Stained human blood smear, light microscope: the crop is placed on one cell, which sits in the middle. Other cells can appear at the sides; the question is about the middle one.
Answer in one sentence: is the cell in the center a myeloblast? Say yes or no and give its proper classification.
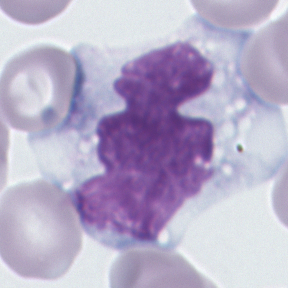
No, the central cell is counted as a monocyte instead of a myeloblast.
